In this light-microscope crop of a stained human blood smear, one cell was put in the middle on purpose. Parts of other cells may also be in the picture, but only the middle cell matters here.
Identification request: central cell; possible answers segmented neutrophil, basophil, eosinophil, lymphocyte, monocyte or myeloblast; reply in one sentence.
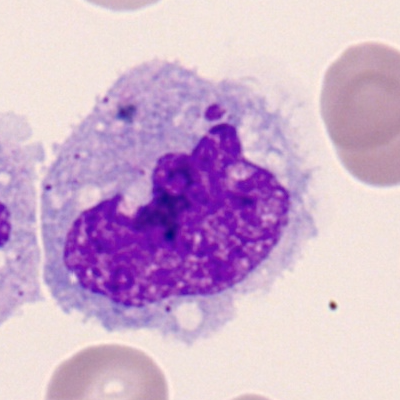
The cell occupying the middle of the crop is a monocyte.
